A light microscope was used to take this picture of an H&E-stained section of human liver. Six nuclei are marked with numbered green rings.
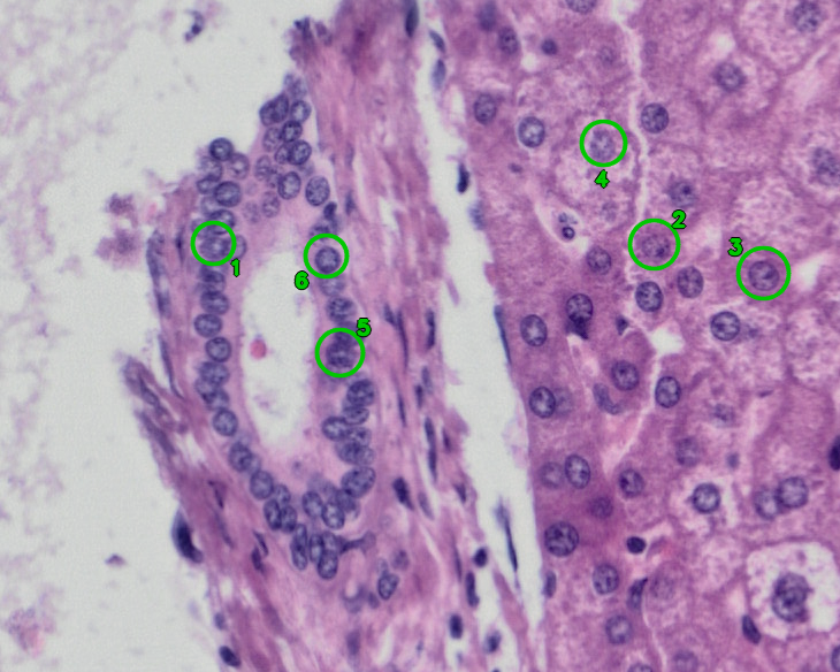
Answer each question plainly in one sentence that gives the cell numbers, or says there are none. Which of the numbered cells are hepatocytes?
By cell type, the cells numbered 2, 3 and 4 are hepatocytes.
